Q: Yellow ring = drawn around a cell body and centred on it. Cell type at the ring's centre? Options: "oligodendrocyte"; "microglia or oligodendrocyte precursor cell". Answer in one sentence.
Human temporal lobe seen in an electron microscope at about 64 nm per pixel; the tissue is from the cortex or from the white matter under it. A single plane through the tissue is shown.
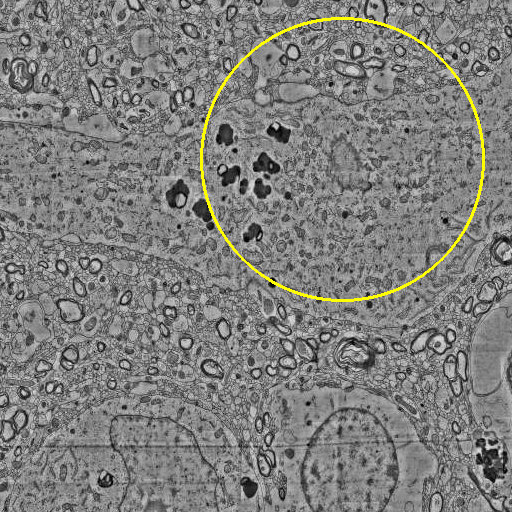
Centred in the ring is an oligodendrocyte.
